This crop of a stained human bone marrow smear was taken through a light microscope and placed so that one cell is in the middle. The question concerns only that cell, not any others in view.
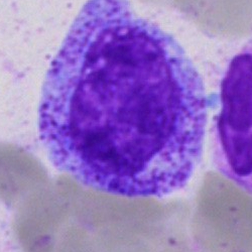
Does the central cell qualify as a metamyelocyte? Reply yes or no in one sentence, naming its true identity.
No, the middle one is a myelocyte rather than a metamyelocyte.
